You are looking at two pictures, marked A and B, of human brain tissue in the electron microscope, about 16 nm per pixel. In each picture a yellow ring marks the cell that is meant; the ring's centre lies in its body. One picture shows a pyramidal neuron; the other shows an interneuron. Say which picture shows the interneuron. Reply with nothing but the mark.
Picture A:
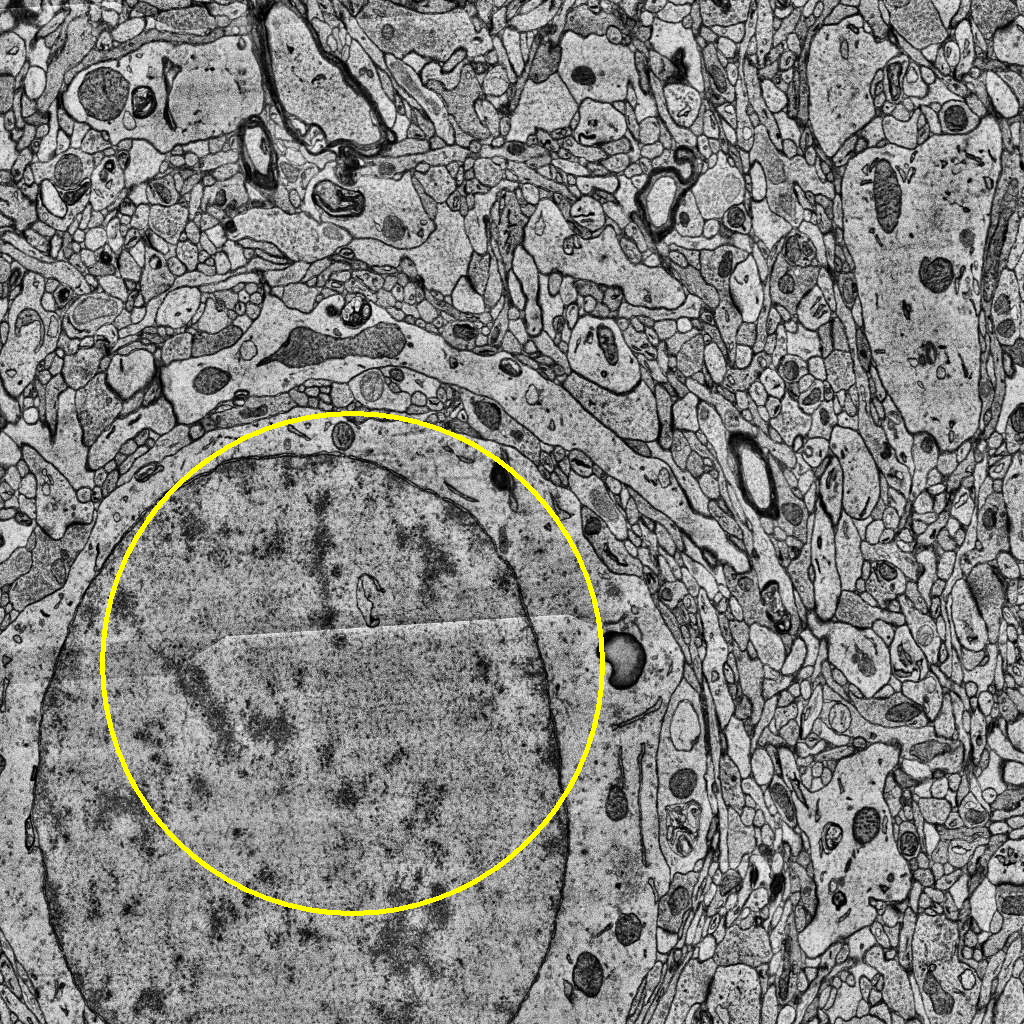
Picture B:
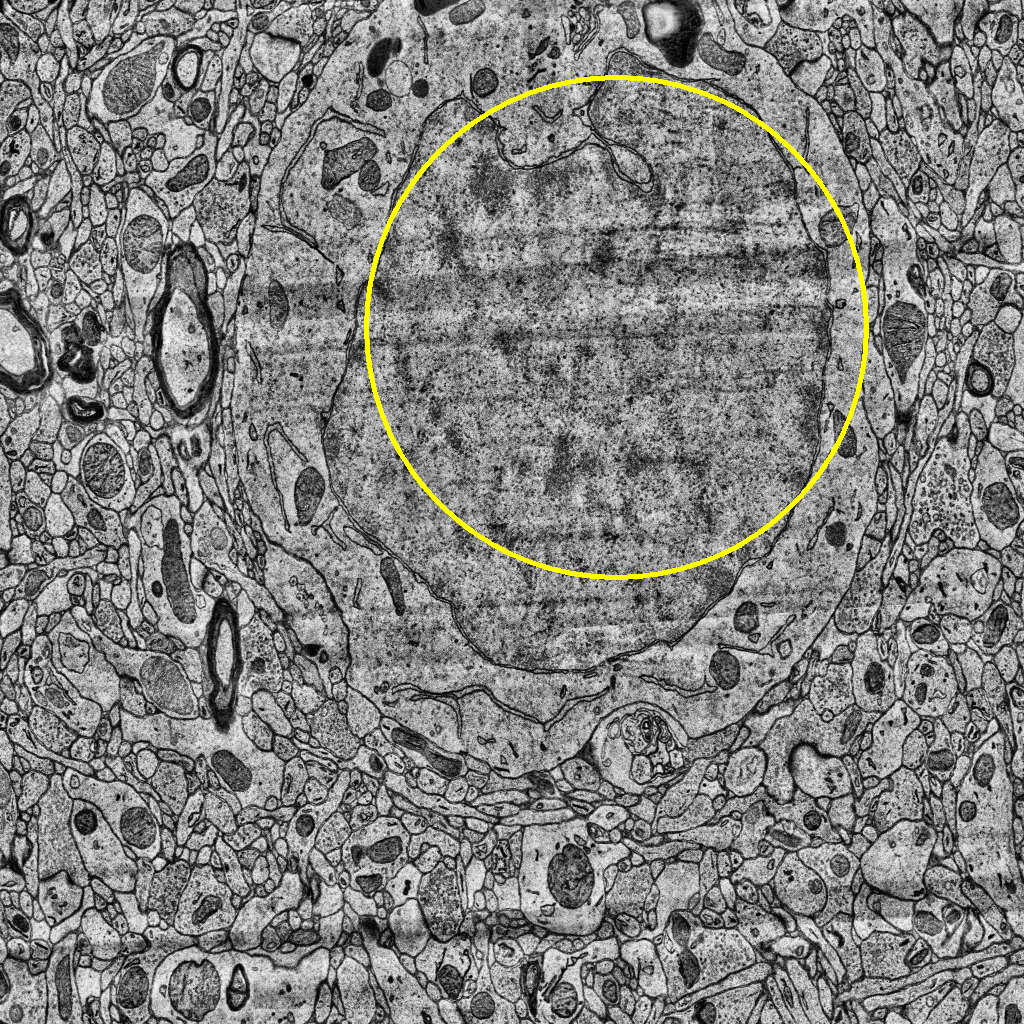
B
